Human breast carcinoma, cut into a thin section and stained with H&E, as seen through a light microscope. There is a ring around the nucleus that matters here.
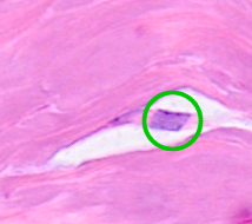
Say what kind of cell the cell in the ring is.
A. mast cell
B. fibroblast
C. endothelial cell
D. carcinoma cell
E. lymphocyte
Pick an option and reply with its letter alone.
B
